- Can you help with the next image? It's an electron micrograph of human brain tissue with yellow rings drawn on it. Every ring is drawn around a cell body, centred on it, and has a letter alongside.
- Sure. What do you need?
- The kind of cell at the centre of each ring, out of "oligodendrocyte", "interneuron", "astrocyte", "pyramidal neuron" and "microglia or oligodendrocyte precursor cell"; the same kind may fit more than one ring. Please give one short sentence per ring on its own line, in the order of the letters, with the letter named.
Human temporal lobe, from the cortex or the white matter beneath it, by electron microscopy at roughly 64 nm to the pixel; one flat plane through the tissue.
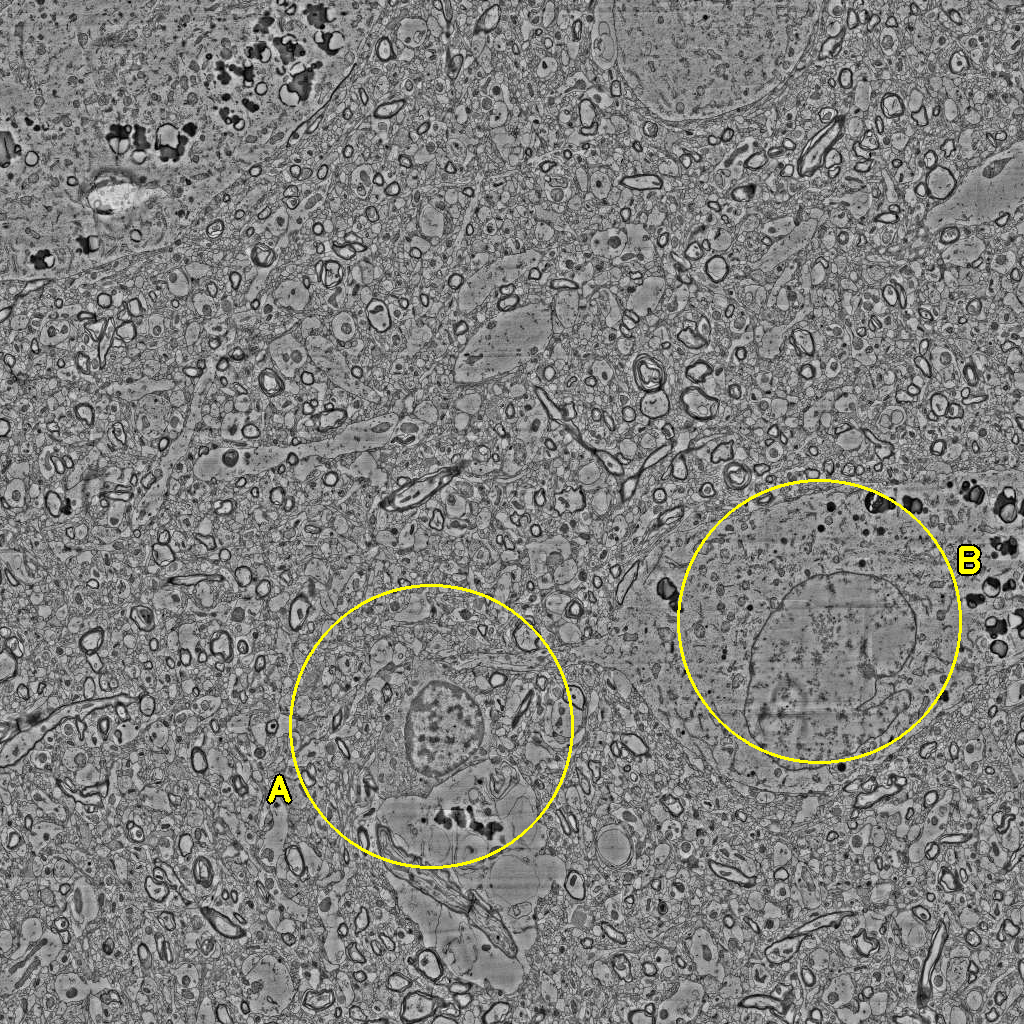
Ring A picks out an oligodendrocyte.
Ring B picks out a pyramidal neuron.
